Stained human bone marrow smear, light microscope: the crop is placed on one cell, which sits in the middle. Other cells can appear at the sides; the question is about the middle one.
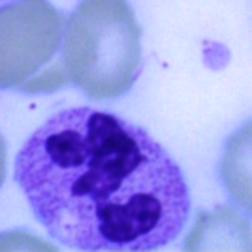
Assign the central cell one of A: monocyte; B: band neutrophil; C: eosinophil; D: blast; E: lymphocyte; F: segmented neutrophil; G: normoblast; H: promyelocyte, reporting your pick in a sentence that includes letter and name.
In the centre of the crop there is a segmented neutrophil, making option F correct.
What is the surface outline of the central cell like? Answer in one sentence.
If you check the edge, you will find it smooth without projections.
